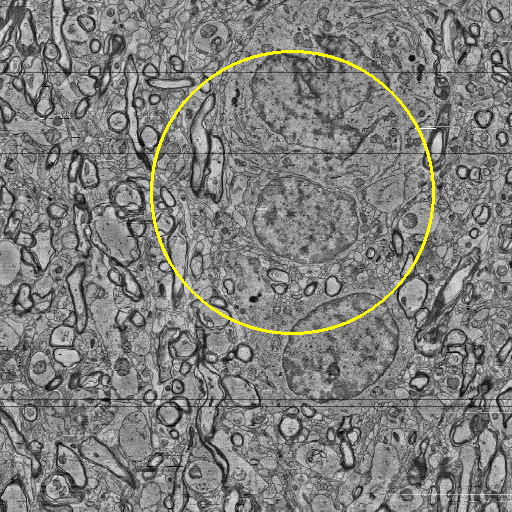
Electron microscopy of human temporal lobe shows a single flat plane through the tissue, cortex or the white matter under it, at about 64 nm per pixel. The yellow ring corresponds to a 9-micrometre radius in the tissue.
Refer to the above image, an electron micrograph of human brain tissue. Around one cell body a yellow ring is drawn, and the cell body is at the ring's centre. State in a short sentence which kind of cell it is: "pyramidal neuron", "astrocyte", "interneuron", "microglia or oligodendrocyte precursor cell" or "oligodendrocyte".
The centre of the ring falls on an oligodendrocyte.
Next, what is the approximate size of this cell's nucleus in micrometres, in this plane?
About 7 by 6 micrometers for the nucleus, in this plane.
